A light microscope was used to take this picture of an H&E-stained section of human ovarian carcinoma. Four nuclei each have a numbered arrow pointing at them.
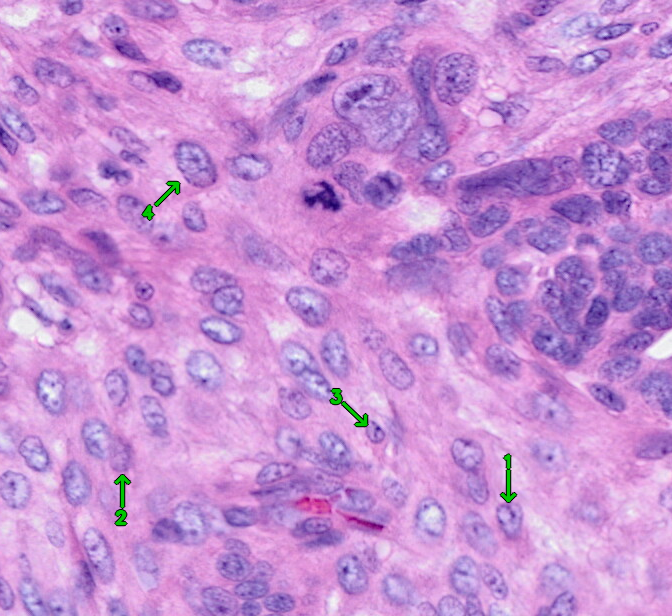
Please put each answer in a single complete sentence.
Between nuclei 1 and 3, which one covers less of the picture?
The smaller nucleus is 3, and 1 covers roughly 2.5 times its area.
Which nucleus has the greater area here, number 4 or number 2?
Number 4 is larger; its area is about 2.5 times that of number 2.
